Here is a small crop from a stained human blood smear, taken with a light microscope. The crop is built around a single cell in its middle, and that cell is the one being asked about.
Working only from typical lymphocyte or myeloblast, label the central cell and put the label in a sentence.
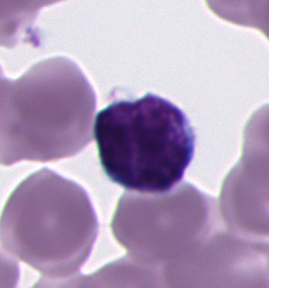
The center cell of this crop is a typical lymphocyte.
